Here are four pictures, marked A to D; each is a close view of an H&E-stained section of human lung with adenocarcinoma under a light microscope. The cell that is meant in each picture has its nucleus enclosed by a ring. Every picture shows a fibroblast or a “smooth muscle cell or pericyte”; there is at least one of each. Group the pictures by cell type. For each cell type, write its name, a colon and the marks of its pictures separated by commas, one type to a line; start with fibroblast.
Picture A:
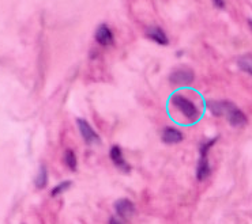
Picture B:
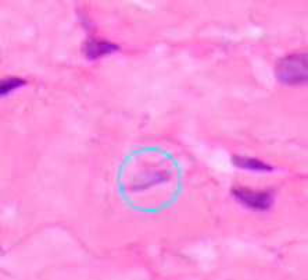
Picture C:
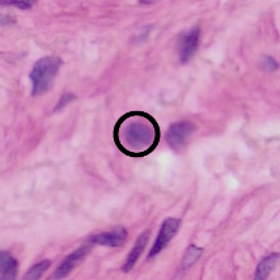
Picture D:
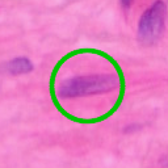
fibroblast: B
smooth muscle cell or pericyte: A, C, D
